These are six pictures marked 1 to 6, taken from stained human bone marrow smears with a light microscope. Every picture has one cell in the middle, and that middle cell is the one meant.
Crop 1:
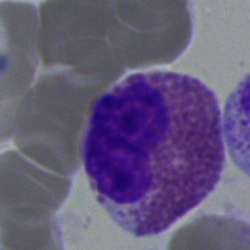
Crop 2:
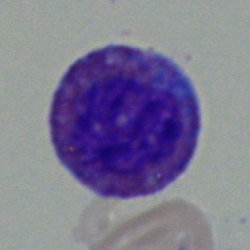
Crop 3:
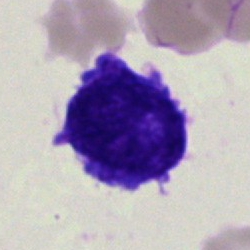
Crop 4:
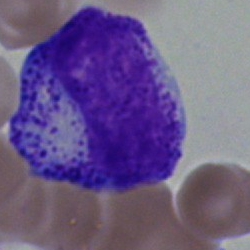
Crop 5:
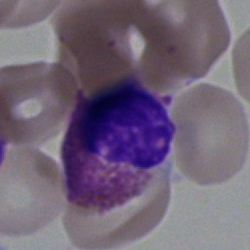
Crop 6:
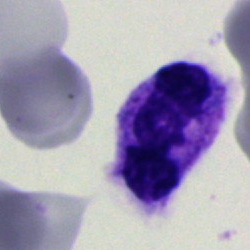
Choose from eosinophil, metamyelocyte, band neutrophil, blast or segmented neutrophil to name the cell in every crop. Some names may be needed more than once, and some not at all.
1: eosinophil
2: eosinophil
3: blast
4: metamyelocyte
5: eosinophil
6: band neutrophil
